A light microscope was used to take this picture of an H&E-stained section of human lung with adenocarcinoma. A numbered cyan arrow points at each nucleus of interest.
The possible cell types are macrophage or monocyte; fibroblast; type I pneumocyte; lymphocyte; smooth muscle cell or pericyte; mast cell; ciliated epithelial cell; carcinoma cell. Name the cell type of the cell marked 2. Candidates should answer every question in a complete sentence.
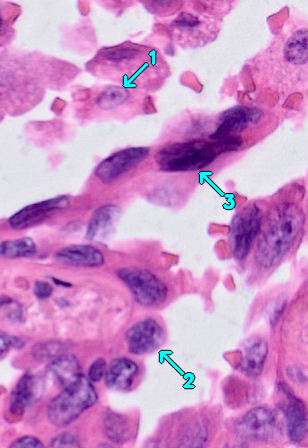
The cell pointed out as number 2 is a carcinoma cell.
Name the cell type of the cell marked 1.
The nucleus labelled 1 belongs to a macrophage or monocyte.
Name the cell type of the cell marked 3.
Cell 3 is classified as a carcinoma cell.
